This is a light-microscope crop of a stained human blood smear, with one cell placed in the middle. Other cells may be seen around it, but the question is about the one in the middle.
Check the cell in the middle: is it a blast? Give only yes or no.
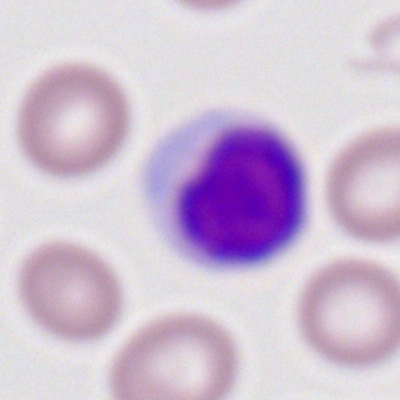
no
